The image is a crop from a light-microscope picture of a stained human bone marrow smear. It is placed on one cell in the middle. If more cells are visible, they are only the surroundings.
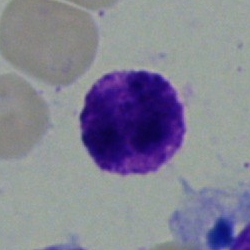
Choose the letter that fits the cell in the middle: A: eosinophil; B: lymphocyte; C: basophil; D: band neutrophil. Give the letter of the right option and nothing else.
C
